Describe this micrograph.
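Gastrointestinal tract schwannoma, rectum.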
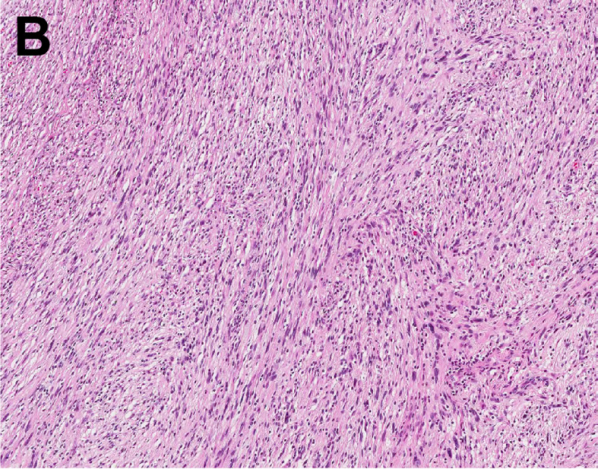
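This is a spindle cell tumor made of tumor cells with elongated, spindle-shaped and wavy nuclei arranged in loose, interlacing fascicles. The cells vary somewhat in size and lie in a pale pink fibrillary background with interspersed collagen fibers.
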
